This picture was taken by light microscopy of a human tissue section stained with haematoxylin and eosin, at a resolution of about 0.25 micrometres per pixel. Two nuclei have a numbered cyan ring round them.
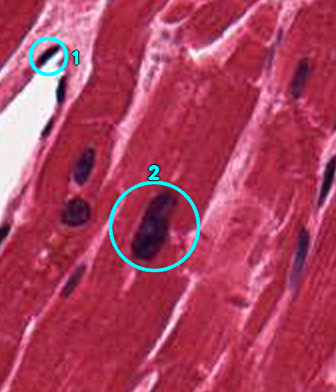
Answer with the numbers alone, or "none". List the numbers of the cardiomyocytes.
2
